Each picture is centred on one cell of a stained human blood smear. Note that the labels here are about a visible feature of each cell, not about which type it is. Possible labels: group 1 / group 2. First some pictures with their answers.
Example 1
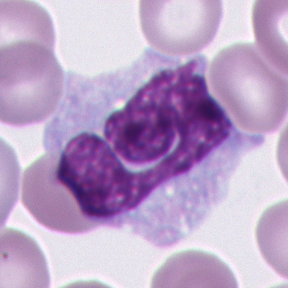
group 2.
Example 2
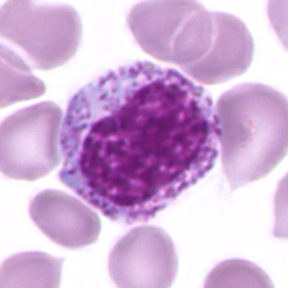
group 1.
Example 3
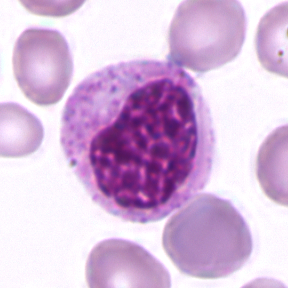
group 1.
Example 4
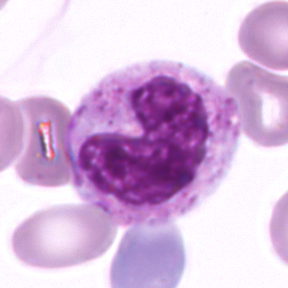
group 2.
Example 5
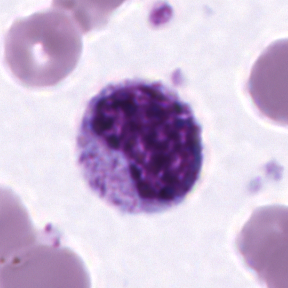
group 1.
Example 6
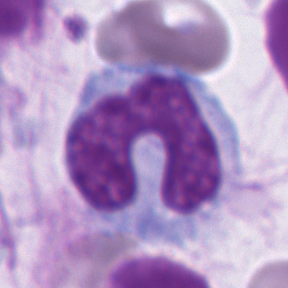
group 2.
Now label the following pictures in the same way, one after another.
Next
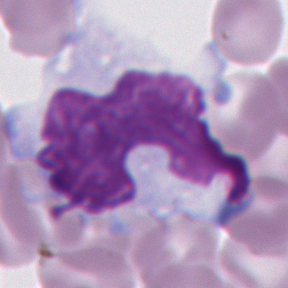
group 2.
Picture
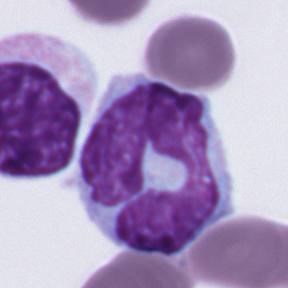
group 2.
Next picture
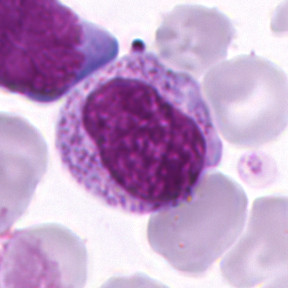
group 1.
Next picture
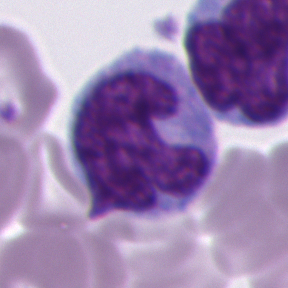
group 2.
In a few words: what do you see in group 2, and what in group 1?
group 2: band-shaped nucleus; group 1: round or oval nucleus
